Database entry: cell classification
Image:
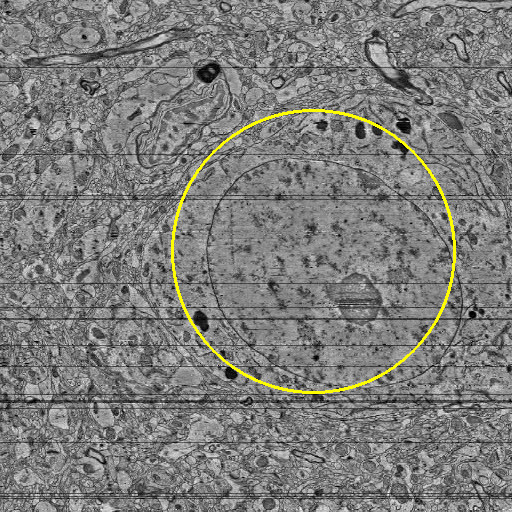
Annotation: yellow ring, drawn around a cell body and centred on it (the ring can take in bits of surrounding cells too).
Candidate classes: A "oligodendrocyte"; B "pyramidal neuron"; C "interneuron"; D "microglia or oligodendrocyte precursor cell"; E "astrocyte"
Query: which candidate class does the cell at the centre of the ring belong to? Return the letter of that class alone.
B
